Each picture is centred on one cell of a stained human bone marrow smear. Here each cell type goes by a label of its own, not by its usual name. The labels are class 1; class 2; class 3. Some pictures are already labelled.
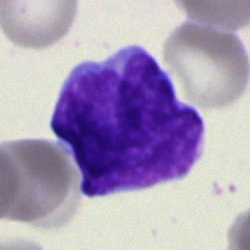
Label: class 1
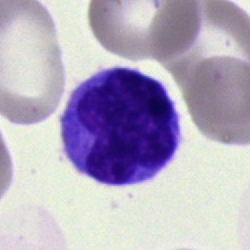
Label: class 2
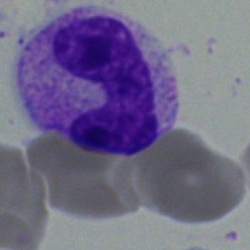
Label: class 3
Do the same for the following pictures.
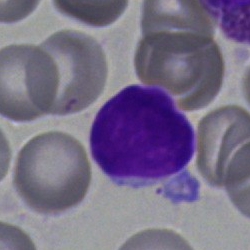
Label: class 2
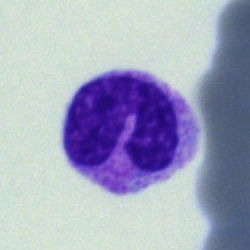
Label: class 3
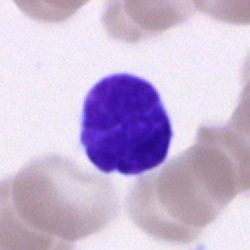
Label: class 2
